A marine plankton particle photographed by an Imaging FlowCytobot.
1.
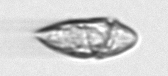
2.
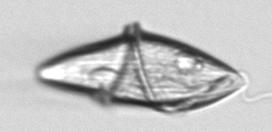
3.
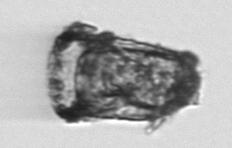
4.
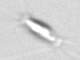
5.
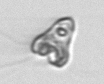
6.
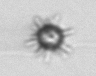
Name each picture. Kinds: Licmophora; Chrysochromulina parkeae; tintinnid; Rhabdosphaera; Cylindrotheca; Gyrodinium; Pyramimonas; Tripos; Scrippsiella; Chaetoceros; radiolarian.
1. Gyrodinium
2. Gyrodinium
3. tintinnid
4. Chrysochromulina parkeae
5. Pyramimonas
6. Rhabdosphaera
